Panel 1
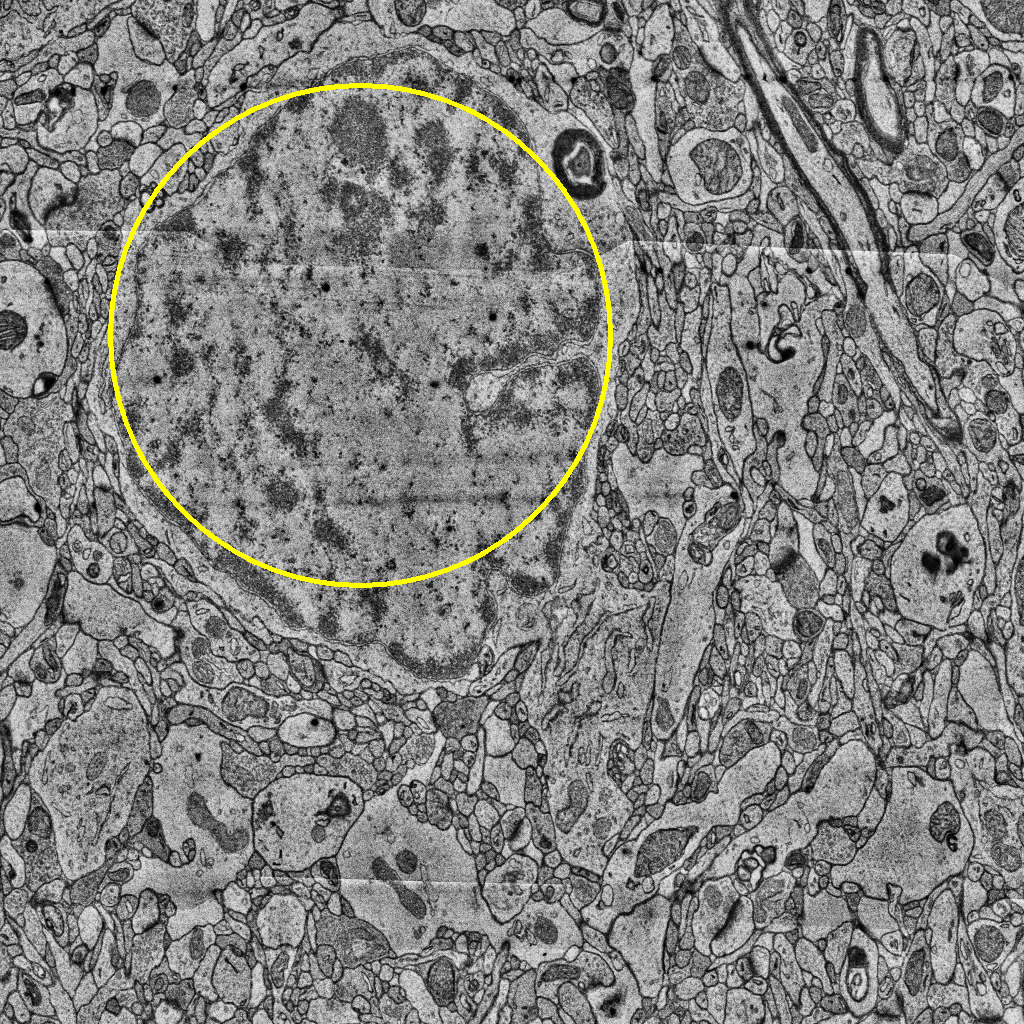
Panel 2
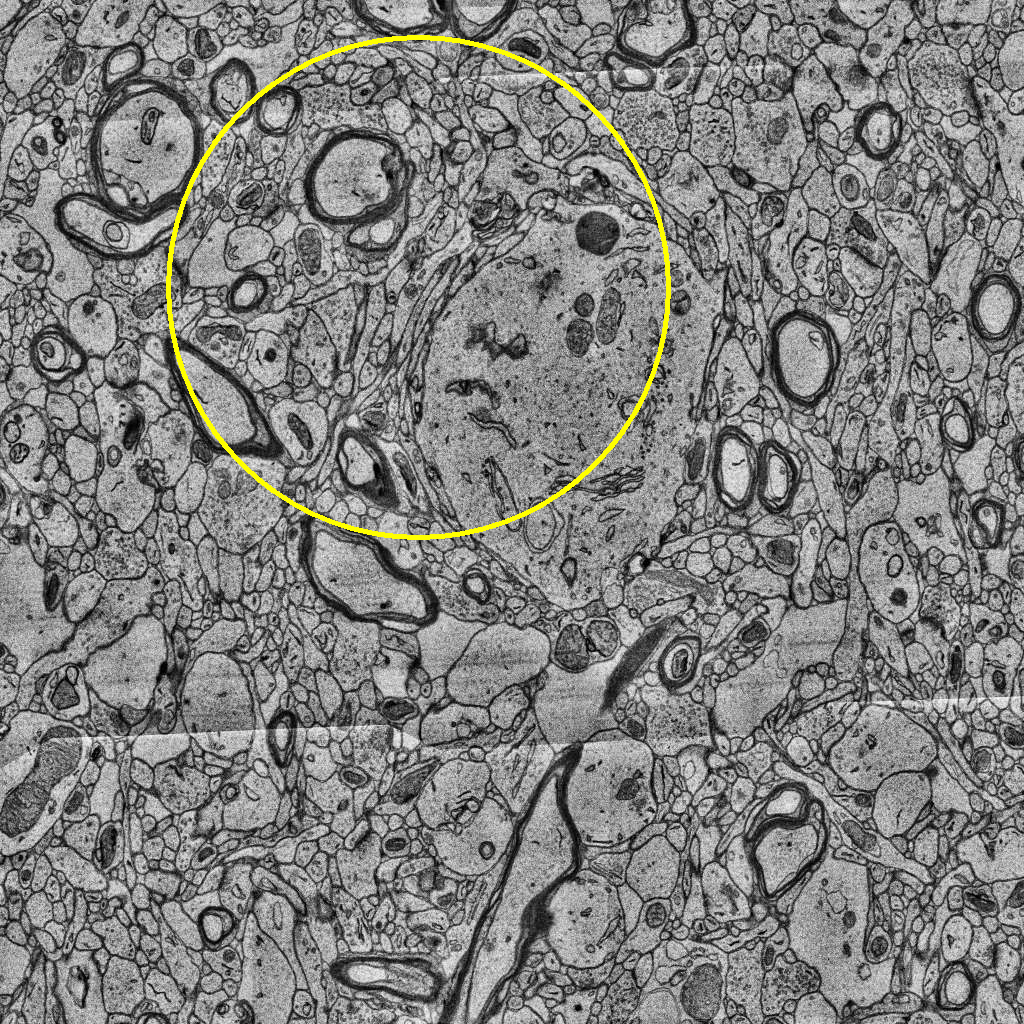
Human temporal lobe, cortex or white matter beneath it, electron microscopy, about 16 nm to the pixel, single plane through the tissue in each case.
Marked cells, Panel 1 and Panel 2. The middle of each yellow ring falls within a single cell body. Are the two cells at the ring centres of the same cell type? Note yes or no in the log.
yes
